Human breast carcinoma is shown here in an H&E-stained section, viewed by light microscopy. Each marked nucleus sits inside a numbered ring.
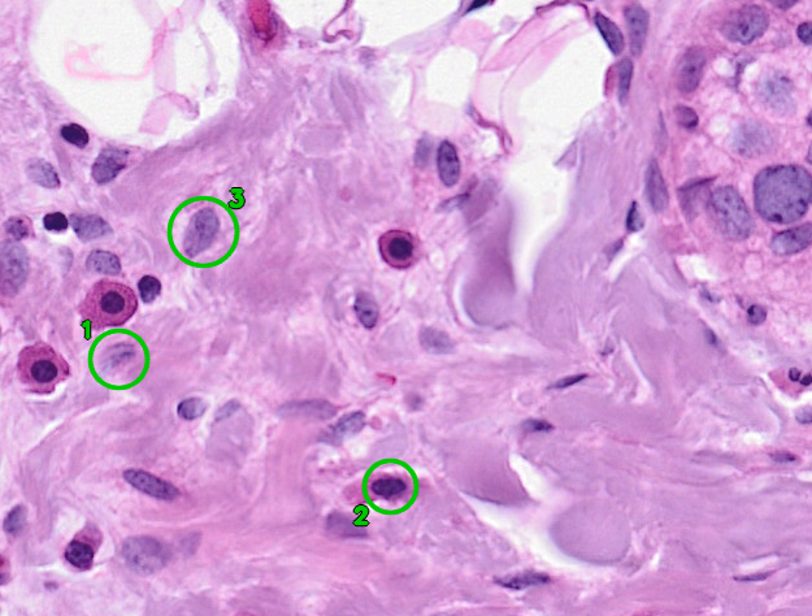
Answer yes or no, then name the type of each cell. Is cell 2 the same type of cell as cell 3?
No, hold on, cell 2 is a mast cell and cell 3 is a fibroblast.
